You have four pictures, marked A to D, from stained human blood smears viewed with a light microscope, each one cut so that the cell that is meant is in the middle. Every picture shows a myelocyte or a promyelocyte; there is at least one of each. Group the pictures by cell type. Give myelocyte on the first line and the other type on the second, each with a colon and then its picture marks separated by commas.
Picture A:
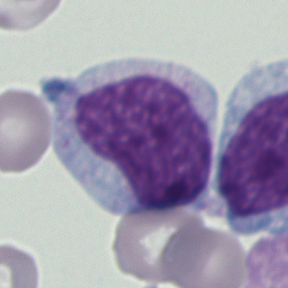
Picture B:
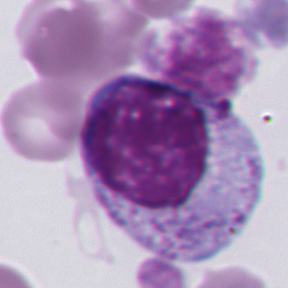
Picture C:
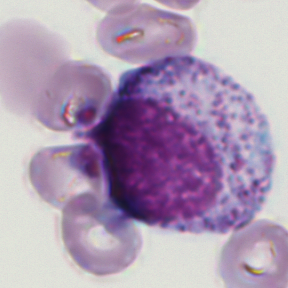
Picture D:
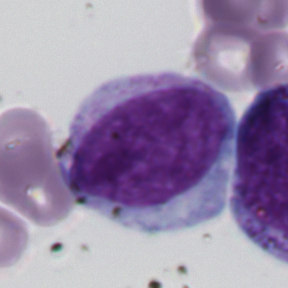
myelocyte: B, C, D
promyelocyte: A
